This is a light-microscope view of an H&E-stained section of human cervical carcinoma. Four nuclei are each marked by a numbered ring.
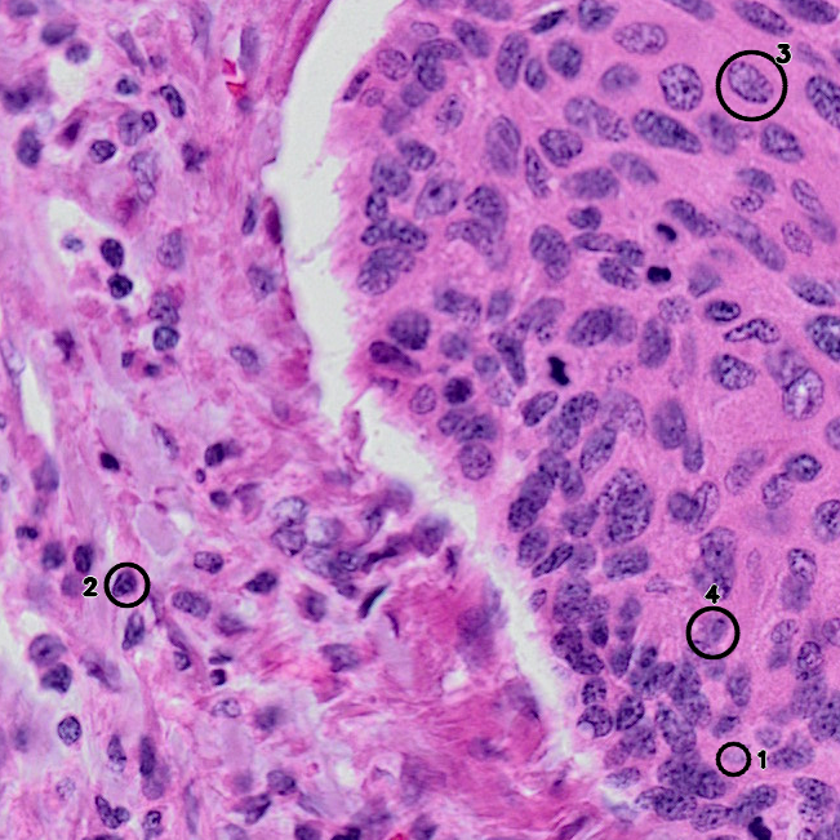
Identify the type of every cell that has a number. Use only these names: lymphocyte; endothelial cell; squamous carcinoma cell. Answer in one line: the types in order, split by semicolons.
squamous carcinoma cell; lymphocyte; squamous carcinoma cell; squamous carcinoma cell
